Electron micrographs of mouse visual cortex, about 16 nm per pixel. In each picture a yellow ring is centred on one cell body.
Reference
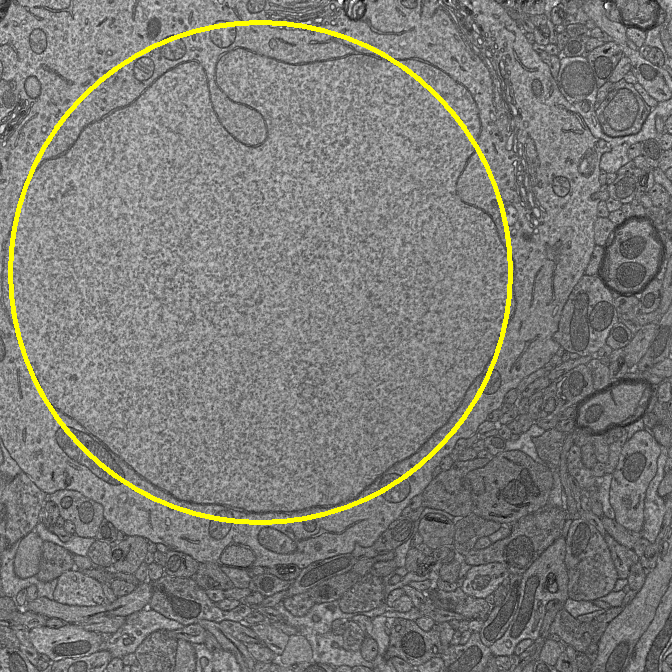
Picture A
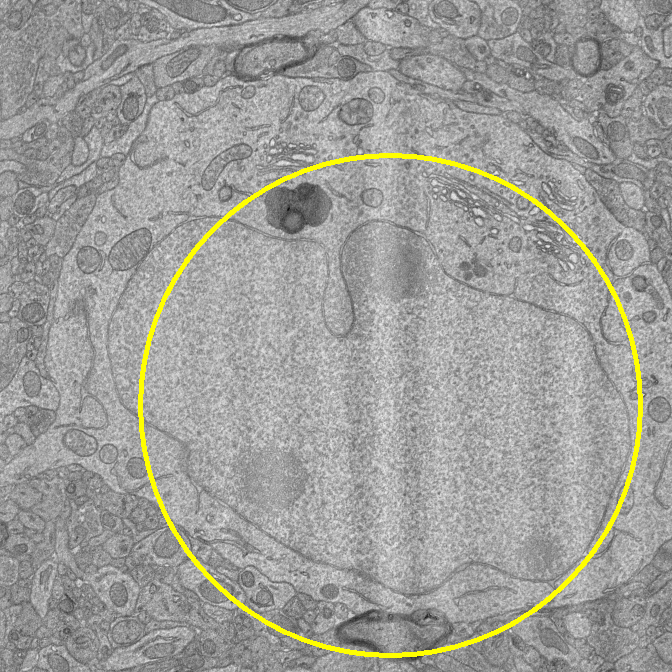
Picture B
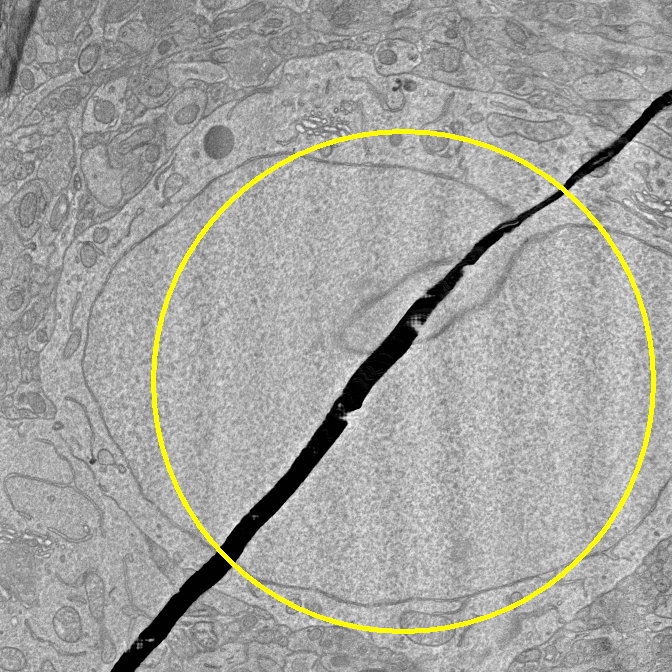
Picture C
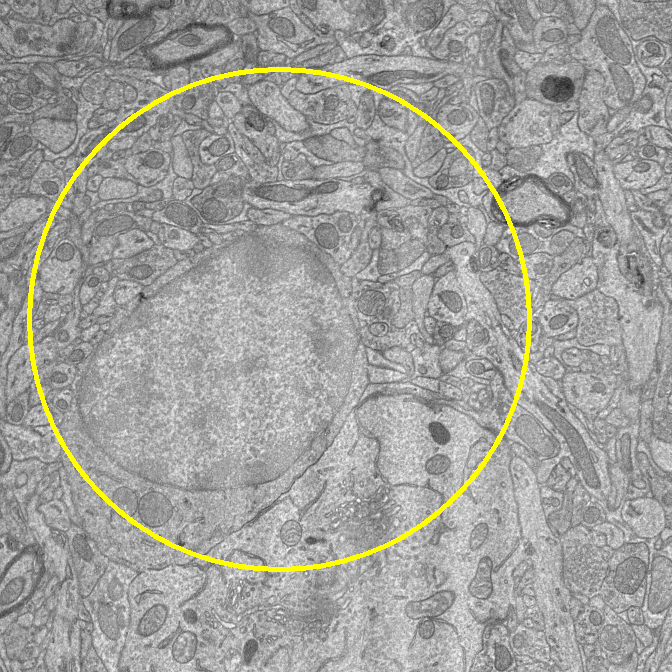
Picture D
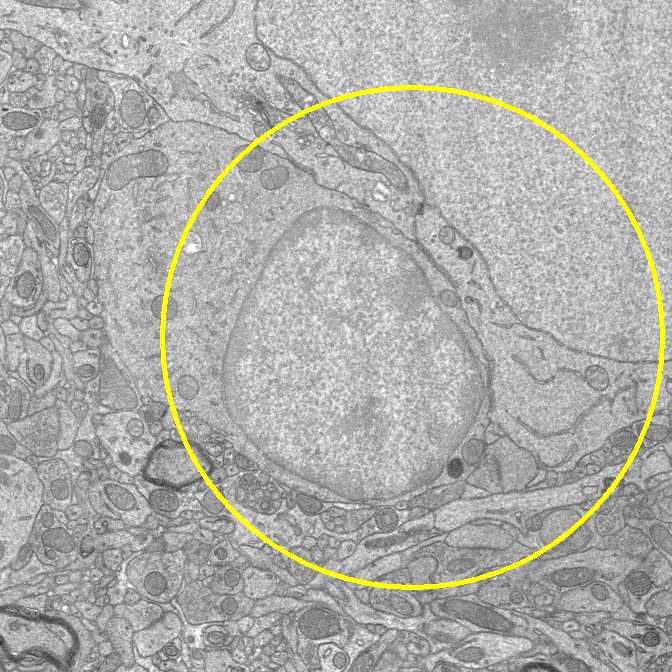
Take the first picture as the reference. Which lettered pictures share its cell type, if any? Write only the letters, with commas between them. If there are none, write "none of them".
A, B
